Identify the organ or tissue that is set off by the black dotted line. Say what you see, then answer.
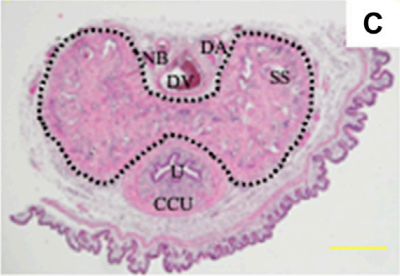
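The dotted line encloses a large paired, dumbbell-shaped body in the upper part of the section. The enclosed area is filled with many irregular open spaces separated by pink-staining trabeculae. The enclosed body lies above a separate smaller body surrounding a lumen.
Hence: corpus cavernosum.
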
